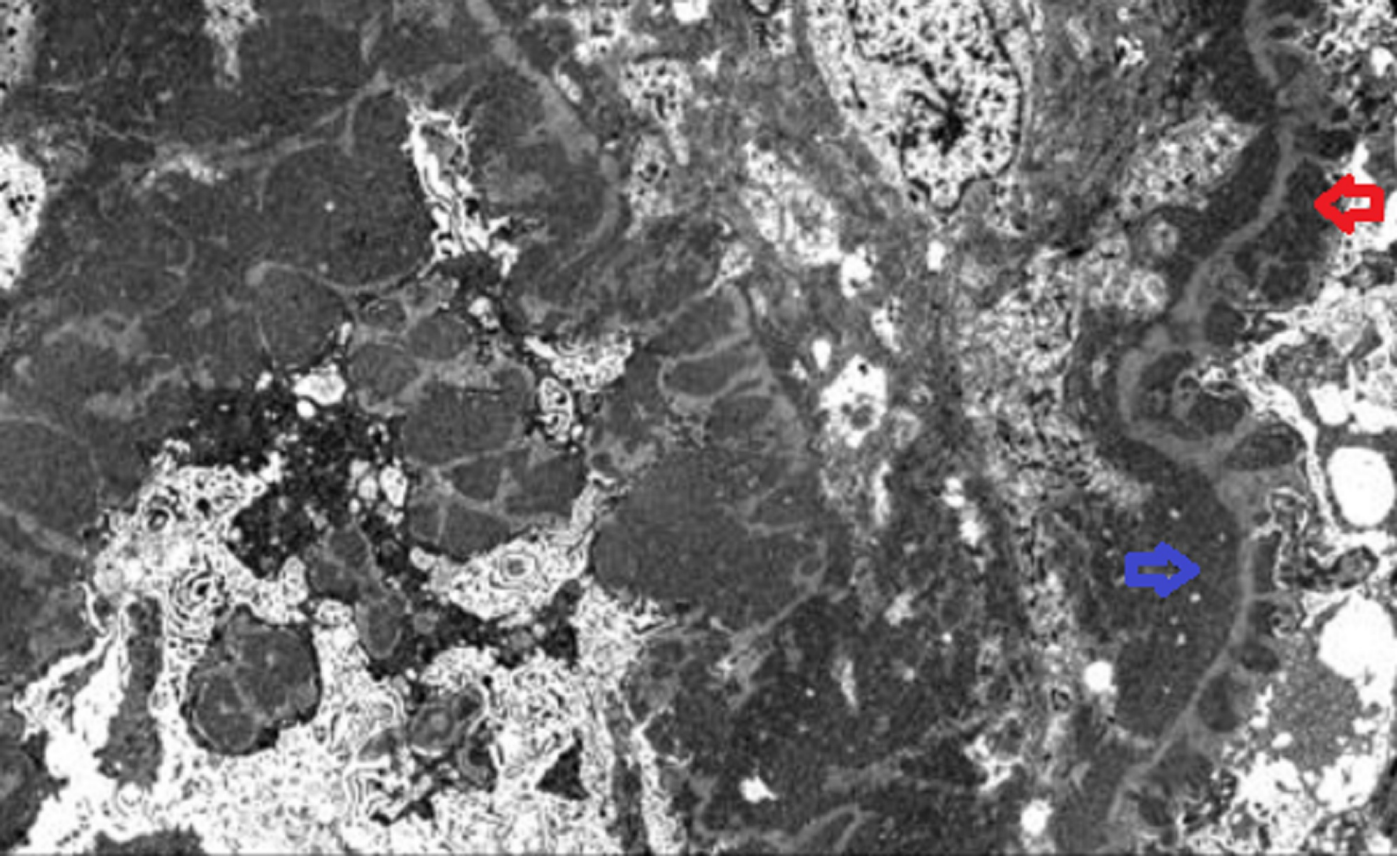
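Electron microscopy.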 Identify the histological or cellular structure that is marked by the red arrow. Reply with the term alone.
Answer: Subepithelial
